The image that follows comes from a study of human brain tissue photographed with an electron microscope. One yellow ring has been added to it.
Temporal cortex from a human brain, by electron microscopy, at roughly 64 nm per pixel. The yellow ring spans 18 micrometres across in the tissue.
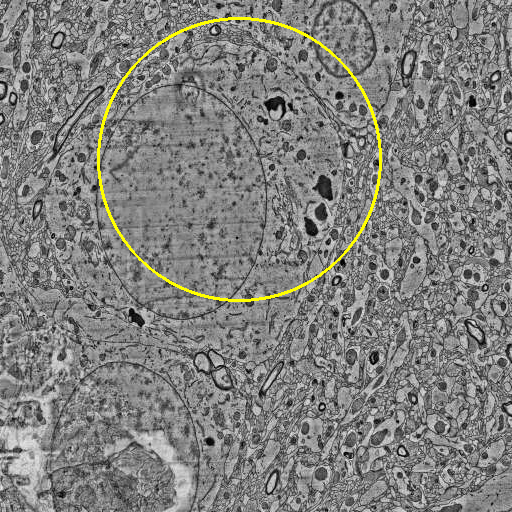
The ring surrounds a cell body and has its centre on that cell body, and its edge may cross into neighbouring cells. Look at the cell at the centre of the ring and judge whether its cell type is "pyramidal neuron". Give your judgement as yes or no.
yes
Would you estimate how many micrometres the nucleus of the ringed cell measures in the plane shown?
About 15 by 11 micrometers for the nucleus, in this plane.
